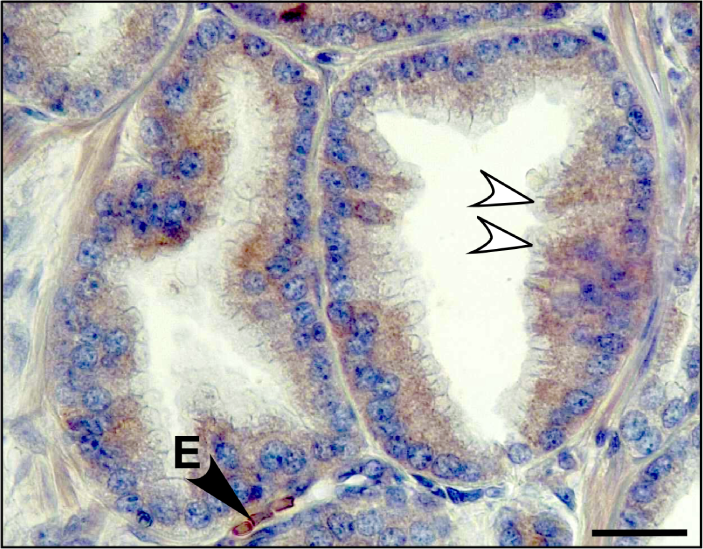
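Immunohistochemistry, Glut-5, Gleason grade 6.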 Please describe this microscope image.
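Prostate cancer tissue with closely packed glands, each with an open, irregular lumen lined by a layer of columnar epithelial cells. The epithelial nuclei are round to oval, blue, and sit mostly toward the base of the cells, some appearing crowded. Thin bands of pale stroma separate adjacent glands. Near the bottom, within a small vessel in the stroma, a red-brown elongated erythrocyte is marked by a black arrowhead.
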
